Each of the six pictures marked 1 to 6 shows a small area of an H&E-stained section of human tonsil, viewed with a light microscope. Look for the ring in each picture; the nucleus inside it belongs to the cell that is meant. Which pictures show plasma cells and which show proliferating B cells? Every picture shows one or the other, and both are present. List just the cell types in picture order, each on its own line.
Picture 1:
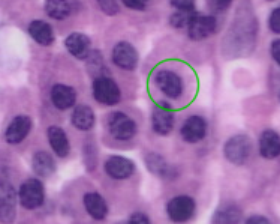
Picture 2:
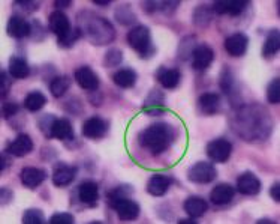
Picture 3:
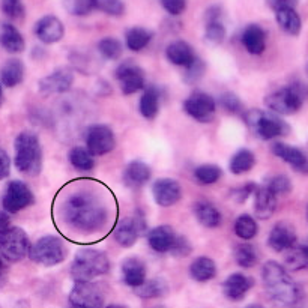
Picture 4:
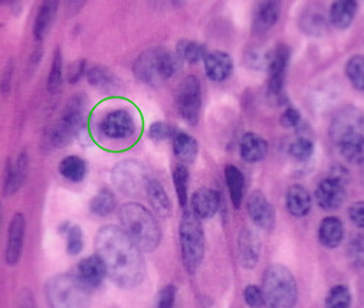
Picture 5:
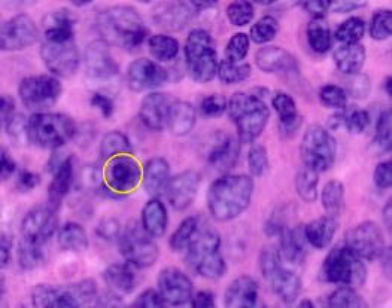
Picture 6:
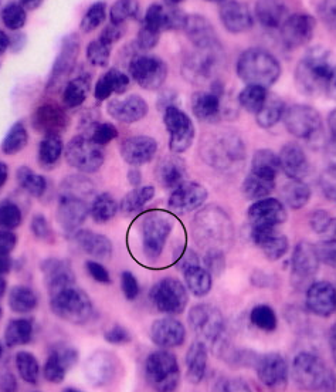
plasma cell
proliferating B cell
proliferating B cell
plasma cell
proliferating B cell
proliferating B cell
